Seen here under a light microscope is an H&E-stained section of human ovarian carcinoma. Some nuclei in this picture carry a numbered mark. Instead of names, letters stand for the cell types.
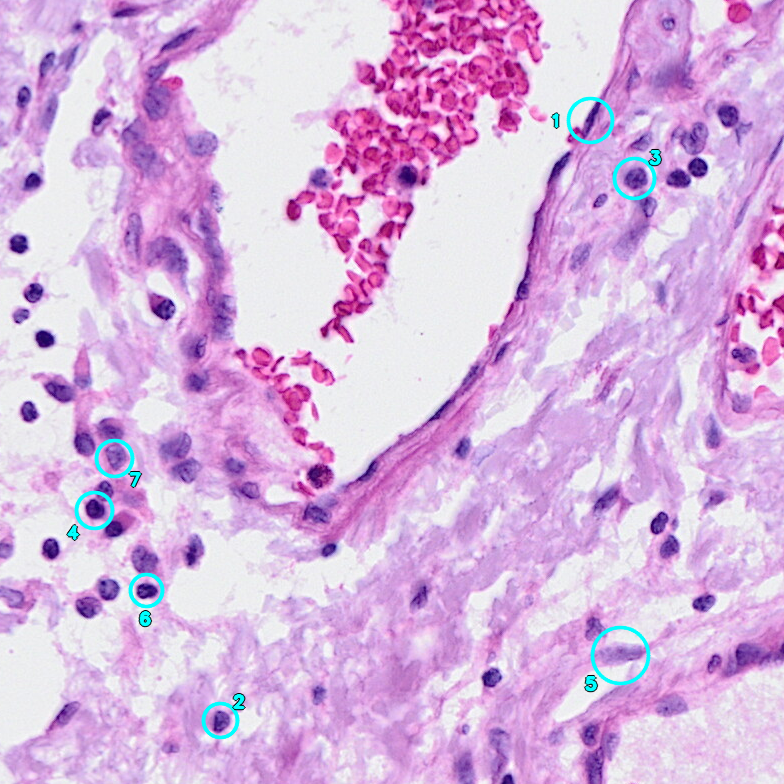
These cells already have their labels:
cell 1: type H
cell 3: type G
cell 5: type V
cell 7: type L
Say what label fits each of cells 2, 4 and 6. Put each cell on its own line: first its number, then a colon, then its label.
2: type G
4: type G
6: type G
